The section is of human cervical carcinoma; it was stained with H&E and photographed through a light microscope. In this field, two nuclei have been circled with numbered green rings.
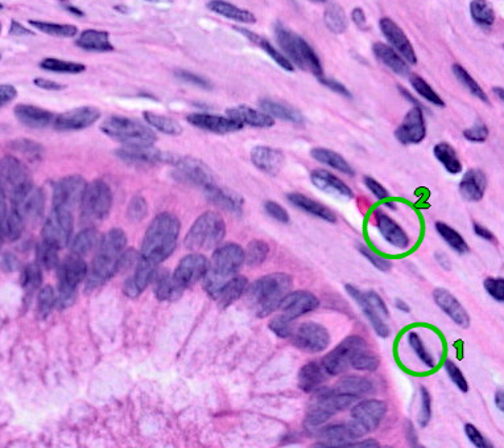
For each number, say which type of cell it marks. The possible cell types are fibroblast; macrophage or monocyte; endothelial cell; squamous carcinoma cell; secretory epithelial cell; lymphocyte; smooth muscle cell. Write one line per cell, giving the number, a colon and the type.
1: fibroblast
2: endothelial cell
